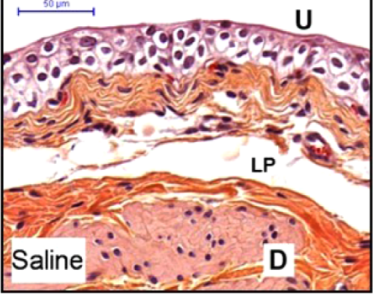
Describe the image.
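This section of bladder wall shows the urothelium, the lamina propria beneath it and a bundle of detrusor smooth muscle. The urothelium is several cells thick, its cells with round to oval purple nuclei and pale cytoplasm, the surface layer smooth and continuous. Below lies a band of wavy orange-red collagen fibres with scattered elongated dark nuclei of connective tissue cells, then a narrow clear gap. The muscle bundle at the bottom has pink cytoplasm with oval to elongated nuclei and is wrapped in dense red-orange connective tissue.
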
